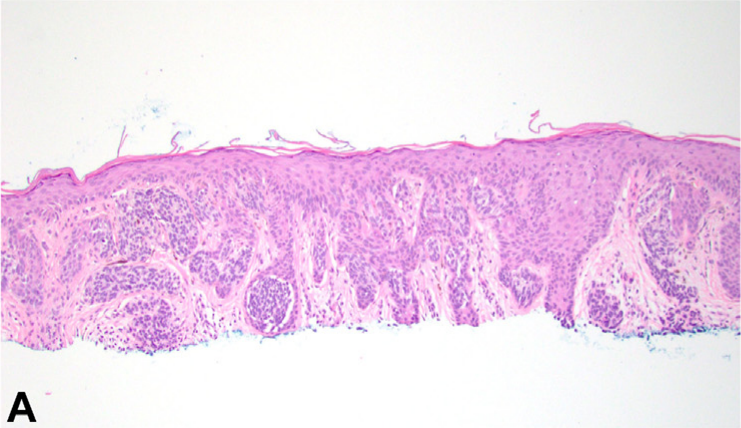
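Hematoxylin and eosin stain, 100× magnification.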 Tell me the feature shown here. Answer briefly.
Concentric lamellar fibroplasia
